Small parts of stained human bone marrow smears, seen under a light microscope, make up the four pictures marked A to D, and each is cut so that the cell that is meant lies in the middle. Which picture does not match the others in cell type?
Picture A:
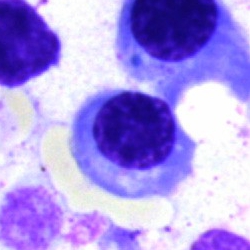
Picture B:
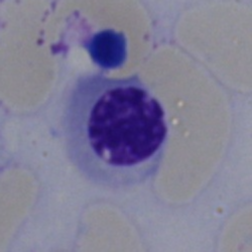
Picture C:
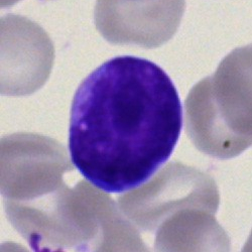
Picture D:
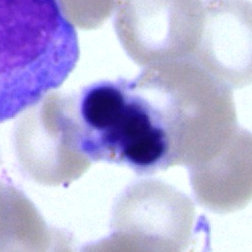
C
